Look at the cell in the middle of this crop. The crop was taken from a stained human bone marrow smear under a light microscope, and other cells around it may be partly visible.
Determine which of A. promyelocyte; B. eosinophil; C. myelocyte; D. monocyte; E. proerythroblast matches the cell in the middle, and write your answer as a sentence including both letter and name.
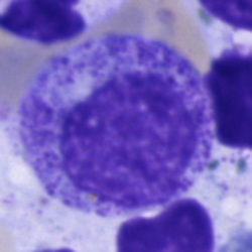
The one to choose is option A, as the cell in the middle is a promyelocyte.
